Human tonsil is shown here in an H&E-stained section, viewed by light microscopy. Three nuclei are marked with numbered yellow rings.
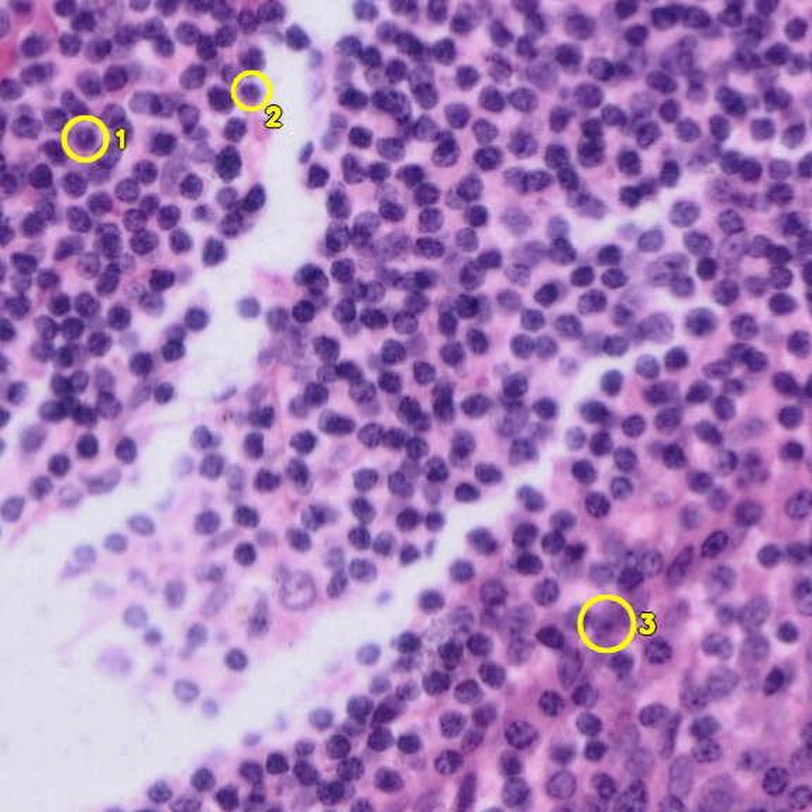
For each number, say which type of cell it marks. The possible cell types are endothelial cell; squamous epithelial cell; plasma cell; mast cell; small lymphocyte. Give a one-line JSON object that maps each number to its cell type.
{"1": "small lymphocyte", "2": "small lymphocyte", "3": "squamous epithelial cell"}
